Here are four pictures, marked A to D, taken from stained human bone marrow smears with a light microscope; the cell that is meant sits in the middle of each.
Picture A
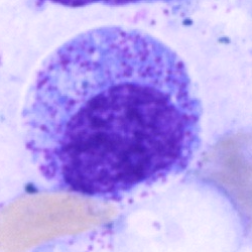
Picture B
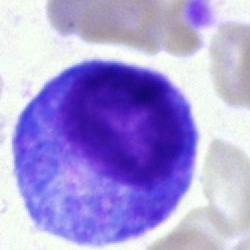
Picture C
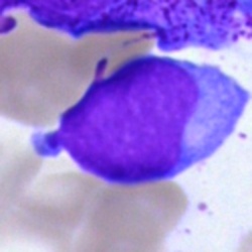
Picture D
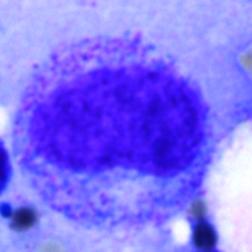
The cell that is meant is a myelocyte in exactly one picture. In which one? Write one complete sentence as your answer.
Picture D shows the myelocyte.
